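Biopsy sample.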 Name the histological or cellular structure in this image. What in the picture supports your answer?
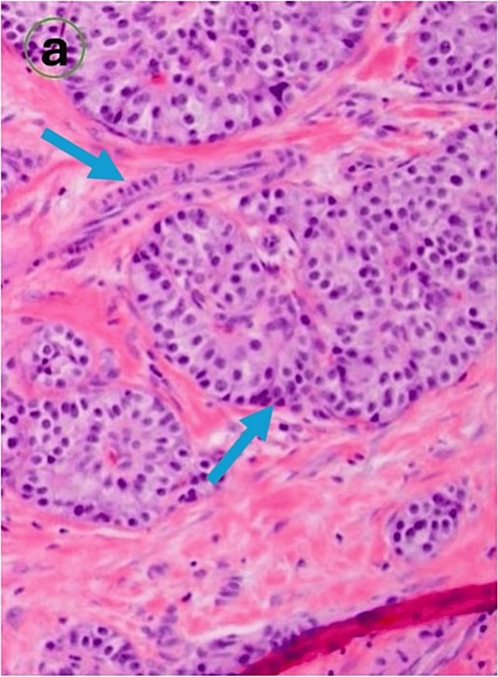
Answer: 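Cells lie in rounded clusters separated by bands of pink fibrous stroma. The cells are many-sided with round nuclei and pink-purple cytoplasm.
Answer: nests of polygonal cells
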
